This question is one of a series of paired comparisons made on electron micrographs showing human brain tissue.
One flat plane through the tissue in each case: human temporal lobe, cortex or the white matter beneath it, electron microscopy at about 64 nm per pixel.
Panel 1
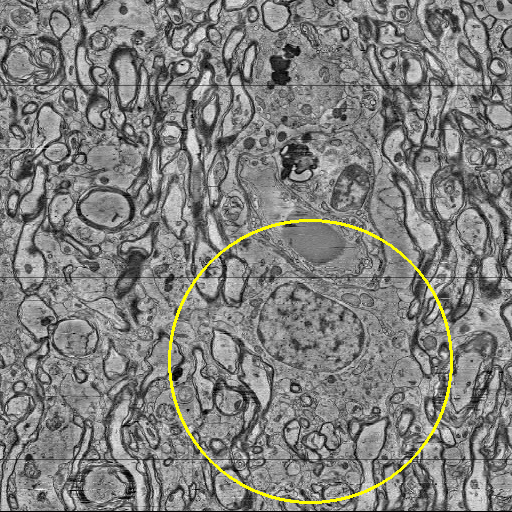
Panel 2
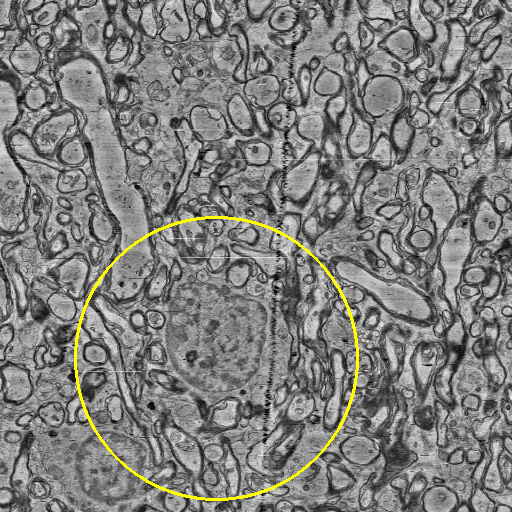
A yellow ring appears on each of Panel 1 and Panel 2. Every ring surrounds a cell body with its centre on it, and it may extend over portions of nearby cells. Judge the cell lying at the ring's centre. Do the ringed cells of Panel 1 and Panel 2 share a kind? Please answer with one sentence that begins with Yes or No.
No, the ring-centre cell in Panel 1 and the one in Panel 2 are of two kinds.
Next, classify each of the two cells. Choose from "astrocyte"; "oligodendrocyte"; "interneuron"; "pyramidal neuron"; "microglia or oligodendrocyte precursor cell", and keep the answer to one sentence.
In the first picture it is a microglial cell or oligodendrocyte precursor cell; in the second it is an oligodendrocyte.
